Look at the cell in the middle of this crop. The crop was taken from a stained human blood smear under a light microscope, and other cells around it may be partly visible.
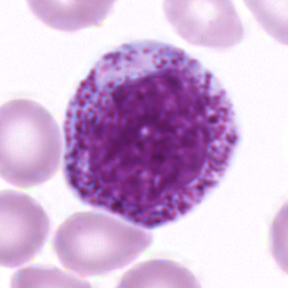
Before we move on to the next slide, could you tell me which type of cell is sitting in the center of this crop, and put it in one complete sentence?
The crop's centre is taken up by a myelocyte.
